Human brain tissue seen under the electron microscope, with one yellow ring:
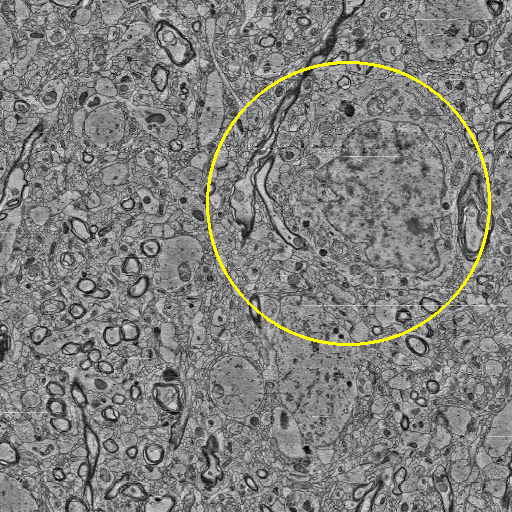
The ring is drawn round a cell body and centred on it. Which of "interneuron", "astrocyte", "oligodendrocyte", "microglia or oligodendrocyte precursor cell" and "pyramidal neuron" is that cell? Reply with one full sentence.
The picture shows an interneuron at the very centre of the yellow ring.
